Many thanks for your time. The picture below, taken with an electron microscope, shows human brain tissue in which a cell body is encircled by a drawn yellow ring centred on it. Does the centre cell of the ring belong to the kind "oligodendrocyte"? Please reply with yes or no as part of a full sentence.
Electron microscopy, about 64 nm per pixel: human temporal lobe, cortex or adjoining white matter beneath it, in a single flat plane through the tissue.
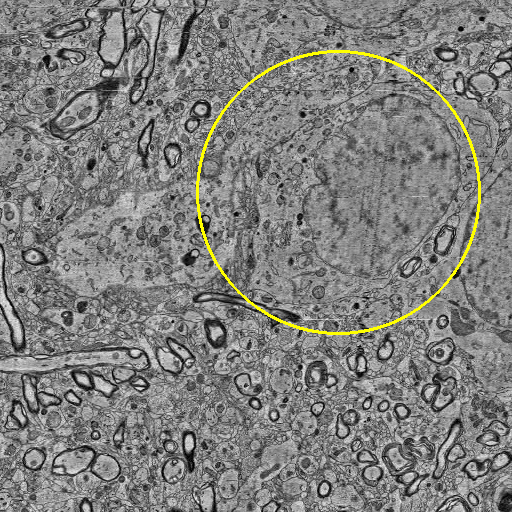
No, in the picture the cell at the ring's centre is of some different kind.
